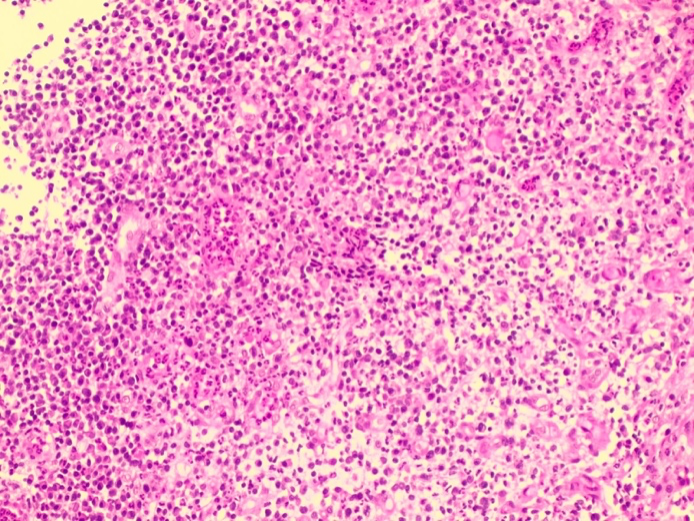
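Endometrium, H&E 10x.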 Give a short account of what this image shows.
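A loose pink stroma is overrun by a dense sheet of small round cells with dark, compact nuclei, crowding most heavily on the left. Toward the right, larger cells with abundant pale, bubbly pink cytoplasm lie among them, and small vessel-like channels cross the field. No glands are seen. This is a dense mixed inflammatory infiltrate with foamy histiocytes, in tissue that resembles granulation tissue.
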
